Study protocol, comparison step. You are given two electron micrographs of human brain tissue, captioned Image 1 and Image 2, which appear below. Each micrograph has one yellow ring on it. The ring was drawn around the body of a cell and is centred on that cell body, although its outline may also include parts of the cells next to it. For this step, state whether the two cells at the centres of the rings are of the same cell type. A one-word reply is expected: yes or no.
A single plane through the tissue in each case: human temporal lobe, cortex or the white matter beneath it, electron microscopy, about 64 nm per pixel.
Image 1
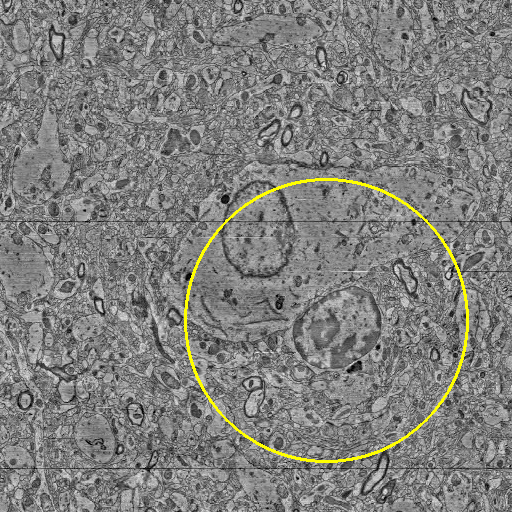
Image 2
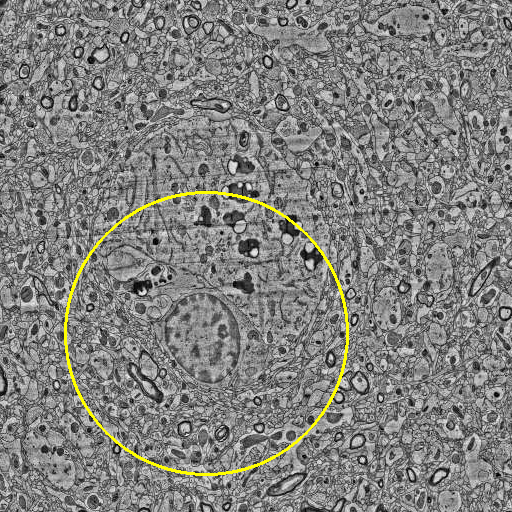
no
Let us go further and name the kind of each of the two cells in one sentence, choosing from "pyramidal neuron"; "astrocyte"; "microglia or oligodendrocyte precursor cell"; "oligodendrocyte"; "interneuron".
The ring of the first picture is on a microglial cell or oligodendrocyte precursor cell, the ring of the second on an oligodendrocyte.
